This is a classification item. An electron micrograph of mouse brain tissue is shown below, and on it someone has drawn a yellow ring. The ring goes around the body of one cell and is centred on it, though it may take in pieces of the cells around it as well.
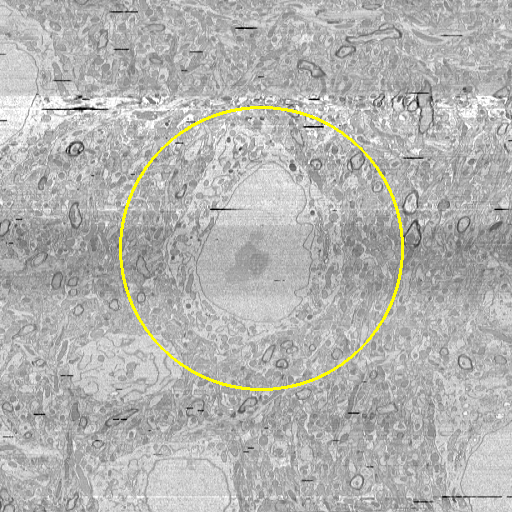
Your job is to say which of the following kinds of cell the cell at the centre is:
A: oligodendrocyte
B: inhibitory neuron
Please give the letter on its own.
B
